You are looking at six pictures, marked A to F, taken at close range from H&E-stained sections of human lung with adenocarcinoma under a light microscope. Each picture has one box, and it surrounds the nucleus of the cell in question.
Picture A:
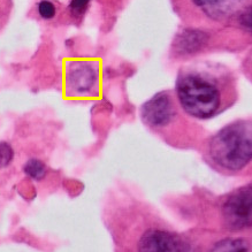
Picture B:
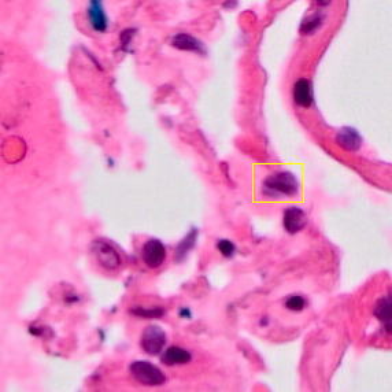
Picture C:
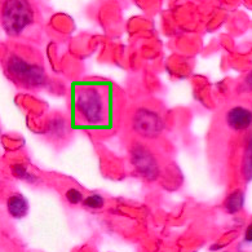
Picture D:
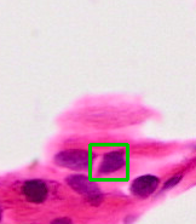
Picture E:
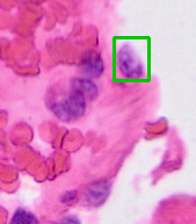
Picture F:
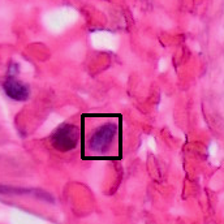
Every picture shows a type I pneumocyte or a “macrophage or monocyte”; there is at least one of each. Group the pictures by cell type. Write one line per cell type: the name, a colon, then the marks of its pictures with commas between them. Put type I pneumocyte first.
type I pneumocyte: B, D, E, F
macrophage or monocyte: A, C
